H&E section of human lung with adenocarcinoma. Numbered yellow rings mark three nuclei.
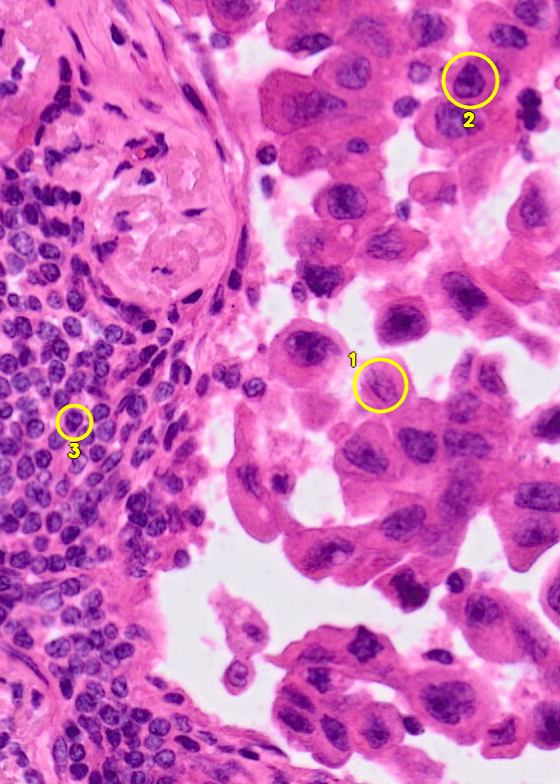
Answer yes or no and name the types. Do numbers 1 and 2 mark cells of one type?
Yes, sure, cells 1 and 2 are both carcinoma cells.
